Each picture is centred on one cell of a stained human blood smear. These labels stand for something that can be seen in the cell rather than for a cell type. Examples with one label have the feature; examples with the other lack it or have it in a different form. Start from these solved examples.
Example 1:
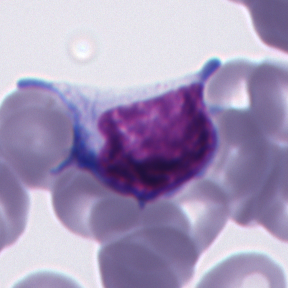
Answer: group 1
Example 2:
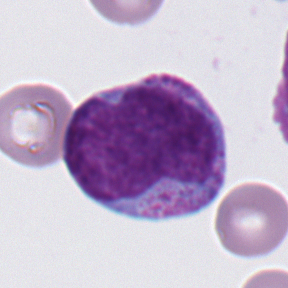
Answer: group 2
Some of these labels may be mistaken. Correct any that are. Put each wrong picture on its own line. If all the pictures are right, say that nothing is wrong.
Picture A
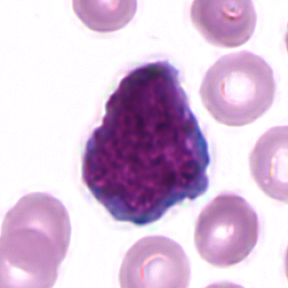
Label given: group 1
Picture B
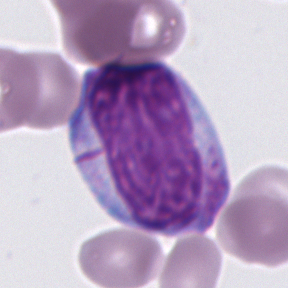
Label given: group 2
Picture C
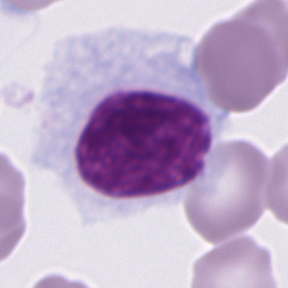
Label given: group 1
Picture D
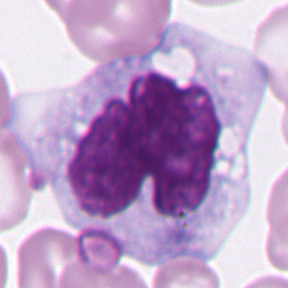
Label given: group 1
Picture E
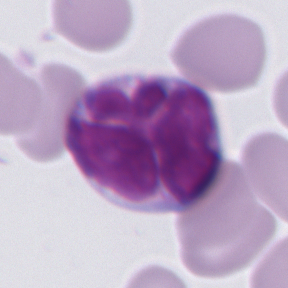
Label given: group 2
A: not group 1 but group 2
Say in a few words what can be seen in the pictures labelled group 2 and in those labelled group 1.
In group 2: scant cytoplasm. In group 1: abundant cytoplasm.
